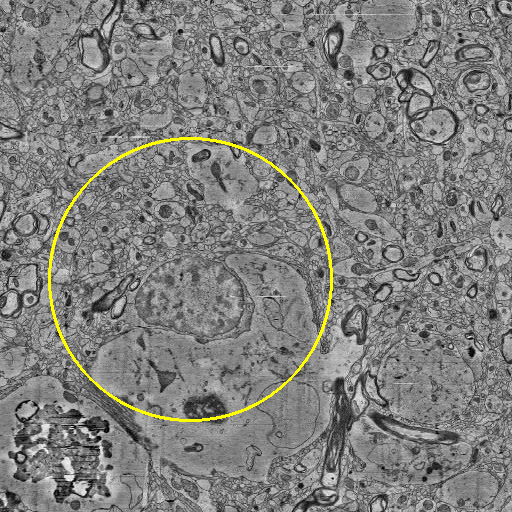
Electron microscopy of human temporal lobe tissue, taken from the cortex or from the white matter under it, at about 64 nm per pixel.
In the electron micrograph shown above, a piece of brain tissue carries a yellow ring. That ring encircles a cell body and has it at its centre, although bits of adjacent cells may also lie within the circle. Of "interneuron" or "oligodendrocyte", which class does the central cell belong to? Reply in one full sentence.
The cell body at the centre of the yellow ring belongs to an oligodendrocyte.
